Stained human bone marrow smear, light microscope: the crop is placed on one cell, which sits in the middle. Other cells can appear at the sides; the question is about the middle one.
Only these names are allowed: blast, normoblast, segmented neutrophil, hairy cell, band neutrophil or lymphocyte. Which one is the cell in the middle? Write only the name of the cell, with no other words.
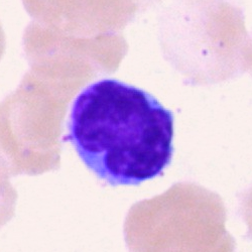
lymphocyte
